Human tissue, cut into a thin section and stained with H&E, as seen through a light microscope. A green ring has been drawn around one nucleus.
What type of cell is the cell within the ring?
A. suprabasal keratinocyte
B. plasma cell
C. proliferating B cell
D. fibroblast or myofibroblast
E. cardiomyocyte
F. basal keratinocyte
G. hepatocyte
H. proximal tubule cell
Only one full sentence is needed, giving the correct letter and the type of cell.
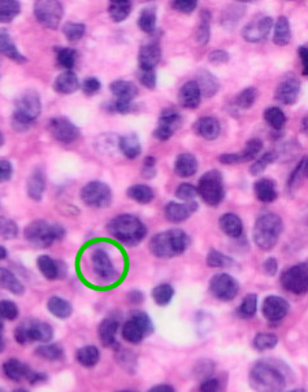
Of the options offered, C is correct, as the cell within the ring is a proliferating B cell.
